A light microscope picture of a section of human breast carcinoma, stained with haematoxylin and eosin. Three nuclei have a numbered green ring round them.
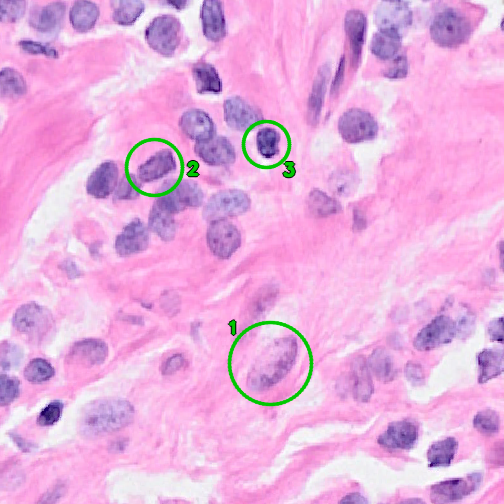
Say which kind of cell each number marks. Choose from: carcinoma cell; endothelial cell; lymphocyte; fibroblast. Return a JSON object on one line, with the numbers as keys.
{"1": "fibroblast", "2": "carcinoma cell", "3": "lymphocyte"}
